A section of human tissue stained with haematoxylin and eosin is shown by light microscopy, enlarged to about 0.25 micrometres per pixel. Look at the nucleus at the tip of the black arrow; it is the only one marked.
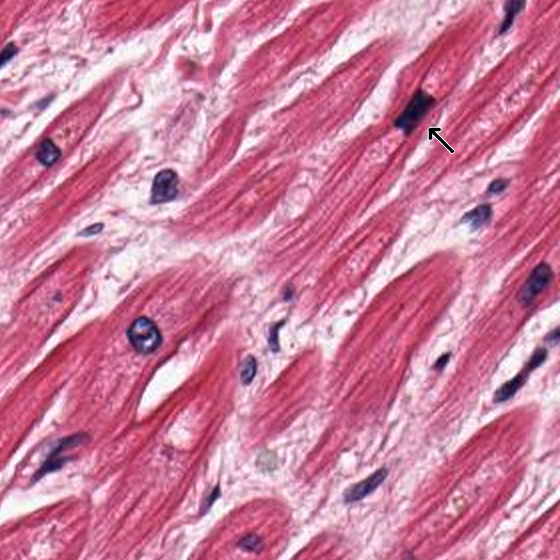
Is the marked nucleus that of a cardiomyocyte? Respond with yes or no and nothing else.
yes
